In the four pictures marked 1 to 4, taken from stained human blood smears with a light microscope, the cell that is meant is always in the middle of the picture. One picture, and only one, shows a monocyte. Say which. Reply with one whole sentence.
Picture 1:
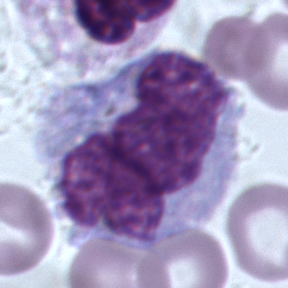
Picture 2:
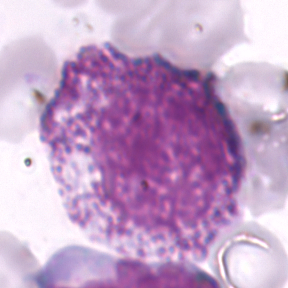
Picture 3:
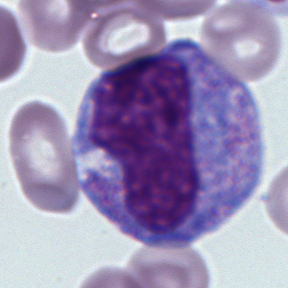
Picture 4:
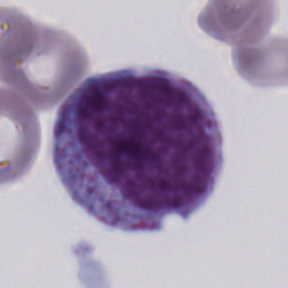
The picture with the monocyte is 1.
